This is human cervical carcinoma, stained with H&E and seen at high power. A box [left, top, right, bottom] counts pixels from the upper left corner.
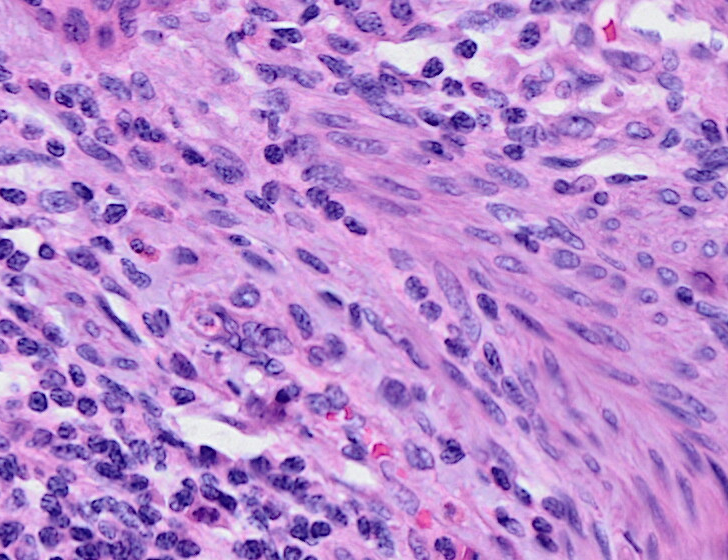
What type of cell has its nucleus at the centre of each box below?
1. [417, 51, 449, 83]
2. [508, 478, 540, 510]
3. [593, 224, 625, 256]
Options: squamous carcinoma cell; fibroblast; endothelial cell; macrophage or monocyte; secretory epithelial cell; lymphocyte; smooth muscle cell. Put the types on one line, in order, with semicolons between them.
lymphocyte; lymphocyte; smooth muscle cell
